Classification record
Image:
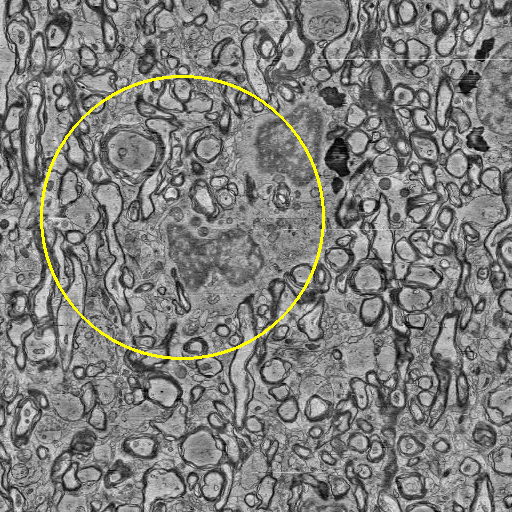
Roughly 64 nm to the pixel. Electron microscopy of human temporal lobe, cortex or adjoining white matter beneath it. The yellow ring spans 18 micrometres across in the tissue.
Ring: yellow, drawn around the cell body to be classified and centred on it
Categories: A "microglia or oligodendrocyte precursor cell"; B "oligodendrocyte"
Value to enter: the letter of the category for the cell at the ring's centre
B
